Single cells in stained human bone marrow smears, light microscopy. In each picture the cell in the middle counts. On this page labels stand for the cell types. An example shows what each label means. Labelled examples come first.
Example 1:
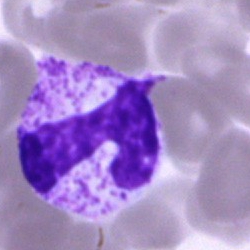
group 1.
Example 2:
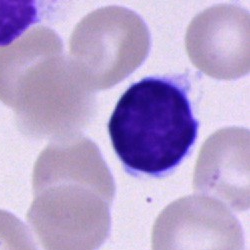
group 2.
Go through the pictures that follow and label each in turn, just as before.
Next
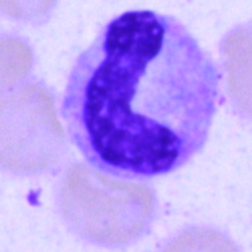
group 1.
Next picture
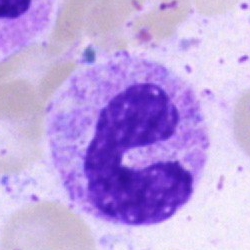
group 1.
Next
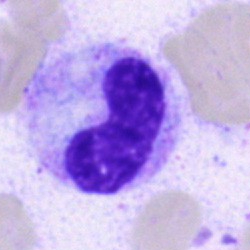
group 1.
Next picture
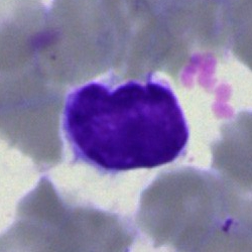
group 2.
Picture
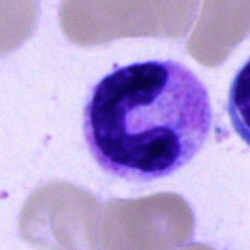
group 1.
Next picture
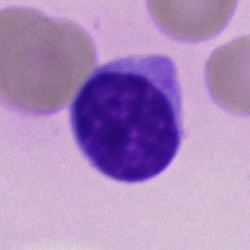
group 2.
